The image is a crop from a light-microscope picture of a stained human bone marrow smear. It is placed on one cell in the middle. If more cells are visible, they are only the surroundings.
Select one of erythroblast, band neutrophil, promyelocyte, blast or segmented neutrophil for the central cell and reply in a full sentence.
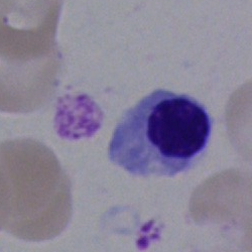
This crop's central cell is an erythroblast.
